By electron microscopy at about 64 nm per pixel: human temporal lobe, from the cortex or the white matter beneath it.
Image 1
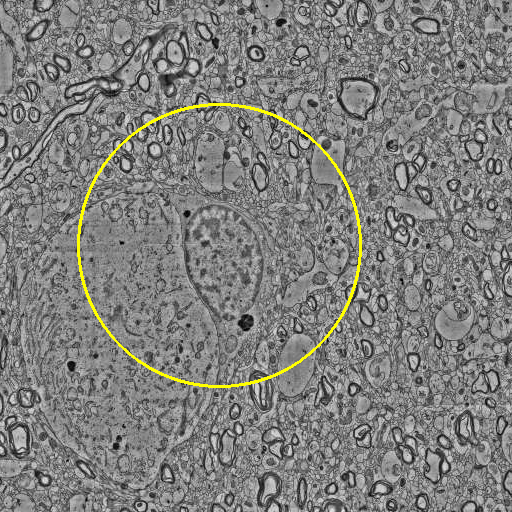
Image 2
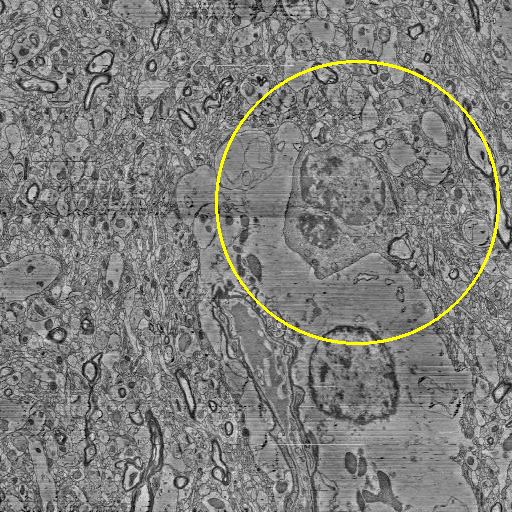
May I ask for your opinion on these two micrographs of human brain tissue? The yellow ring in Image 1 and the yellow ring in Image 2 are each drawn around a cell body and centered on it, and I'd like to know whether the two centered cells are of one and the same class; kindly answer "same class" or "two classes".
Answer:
same class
